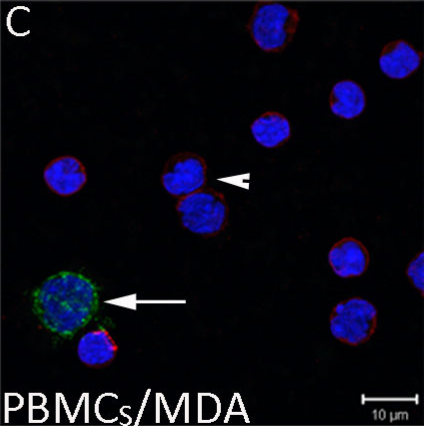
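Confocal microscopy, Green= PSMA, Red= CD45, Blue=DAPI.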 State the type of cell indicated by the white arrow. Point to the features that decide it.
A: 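Cancer cells. Larger cell than its neighbours. Green rim and green dots in the cytoplasm. No red rim on this cell.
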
